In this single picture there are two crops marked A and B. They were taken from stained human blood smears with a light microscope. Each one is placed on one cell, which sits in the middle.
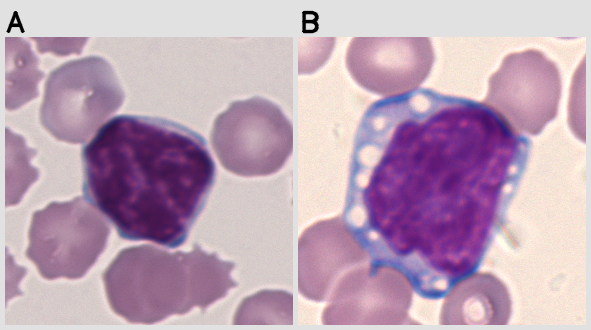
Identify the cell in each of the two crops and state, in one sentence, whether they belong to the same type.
No, while a lymphocyte is found in crop A, a blast is found in crop B.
